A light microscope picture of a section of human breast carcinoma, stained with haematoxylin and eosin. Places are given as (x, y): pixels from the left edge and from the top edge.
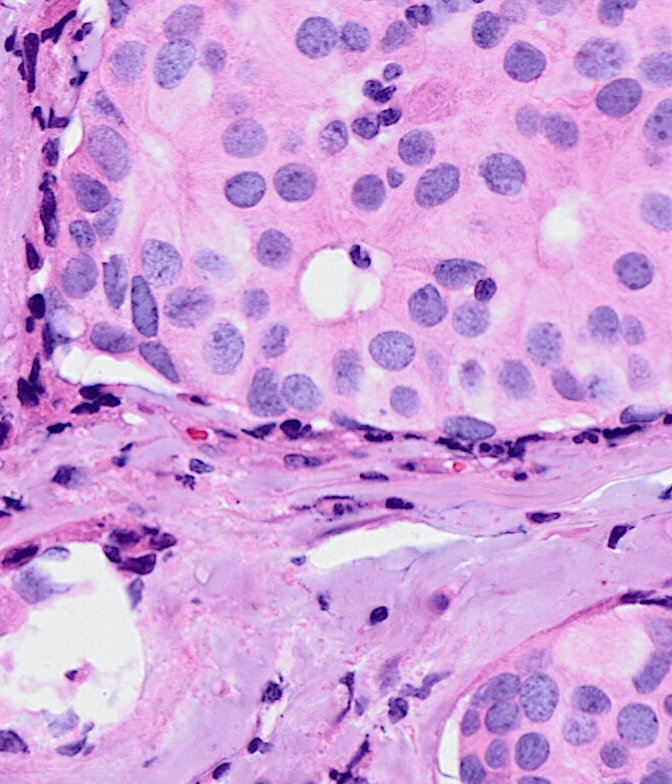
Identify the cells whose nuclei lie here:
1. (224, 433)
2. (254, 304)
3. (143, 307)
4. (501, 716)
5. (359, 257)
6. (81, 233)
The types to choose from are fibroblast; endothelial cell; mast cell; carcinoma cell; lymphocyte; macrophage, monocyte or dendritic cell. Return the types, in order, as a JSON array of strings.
["endothelial cell", "carcinoma cell", "carcinoma cell", "carcinoma cell", "lymphocyte", "carcinoma cell"]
